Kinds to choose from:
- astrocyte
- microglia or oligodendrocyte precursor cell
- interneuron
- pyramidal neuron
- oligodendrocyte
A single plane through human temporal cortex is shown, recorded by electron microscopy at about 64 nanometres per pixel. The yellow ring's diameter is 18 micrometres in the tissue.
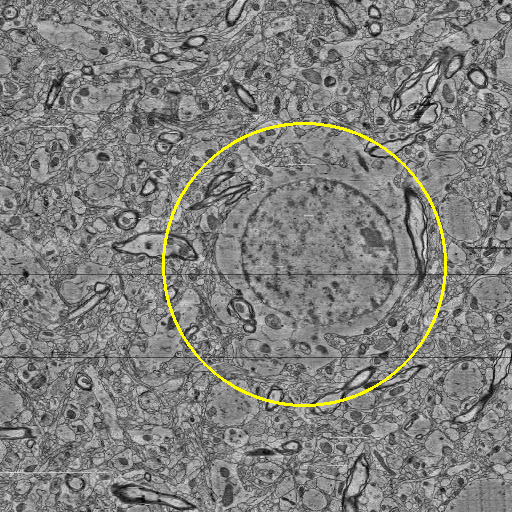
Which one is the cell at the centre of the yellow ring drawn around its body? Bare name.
astrocyte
